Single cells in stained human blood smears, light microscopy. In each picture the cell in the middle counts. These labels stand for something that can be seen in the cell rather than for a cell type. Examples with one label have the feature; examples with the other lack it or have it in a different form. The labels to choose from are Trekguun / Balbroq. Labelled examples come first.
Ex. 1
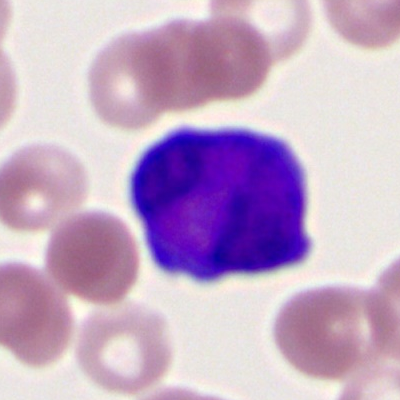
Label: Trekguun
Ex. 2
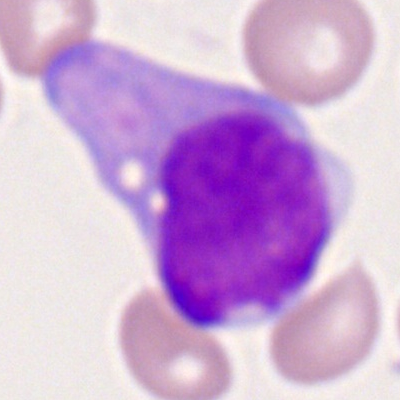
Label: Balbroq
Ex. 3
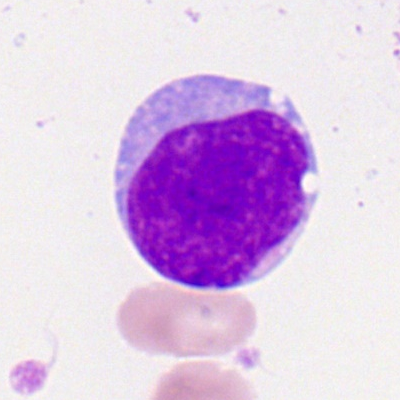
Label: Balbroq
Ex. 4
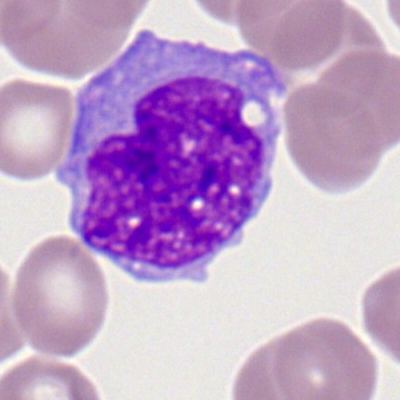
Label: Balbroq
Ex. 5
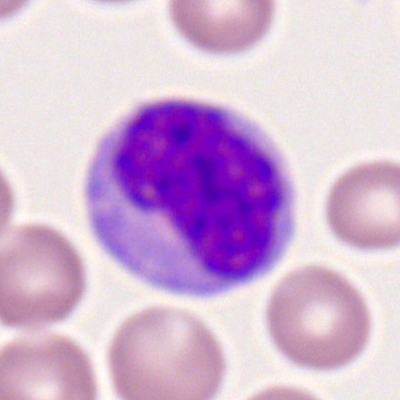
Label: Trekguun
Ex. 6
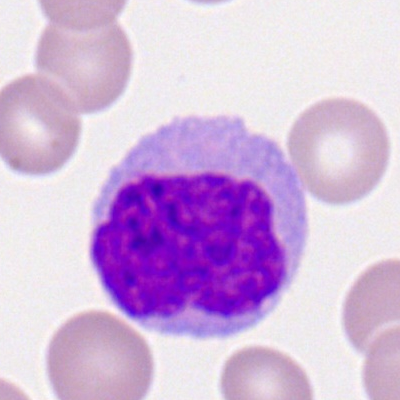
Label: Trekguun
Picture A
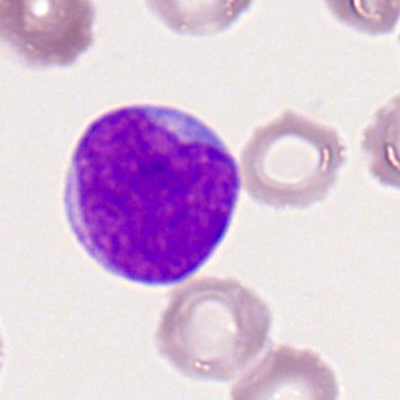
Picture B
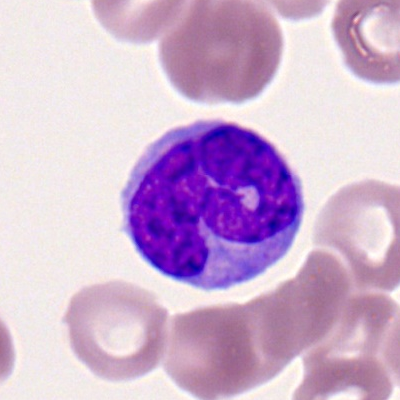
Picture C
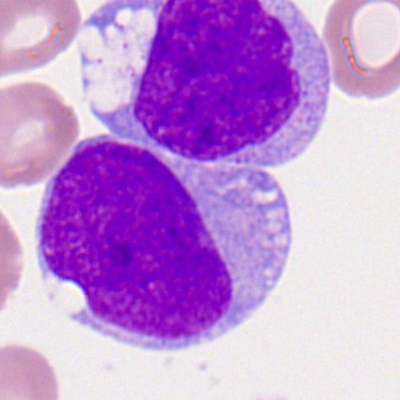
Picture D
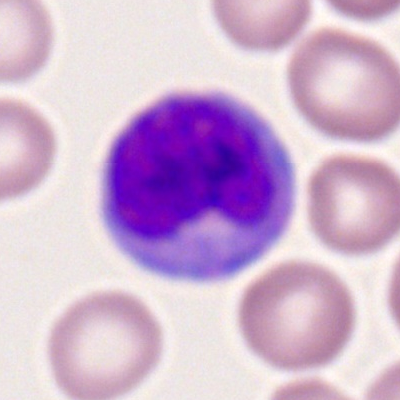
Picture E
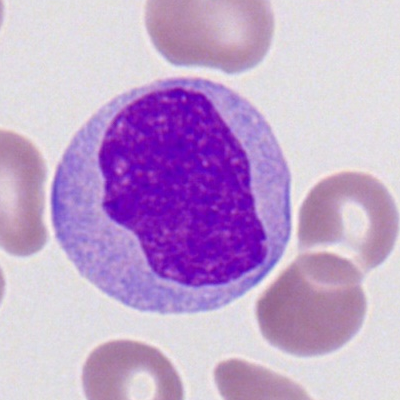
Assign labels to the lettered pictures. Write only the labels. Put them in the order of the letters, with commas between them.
Trekguun, Trekguun, Balbroq, Trekguun, Trekguun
